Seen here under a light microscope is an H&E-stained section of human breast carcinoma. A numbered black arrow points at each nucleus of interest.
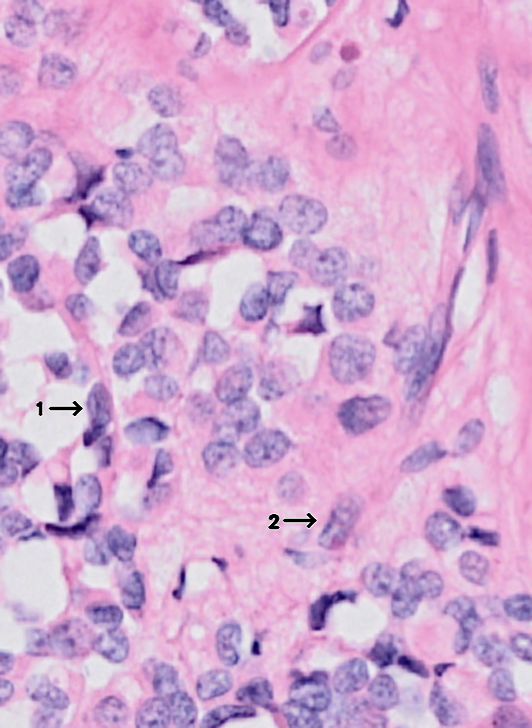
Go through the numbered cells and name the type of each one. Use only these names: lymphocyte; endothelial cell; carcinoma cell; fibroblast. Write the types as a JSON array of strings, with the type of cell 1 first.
["carcinoma cell", "endothelial cell"]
